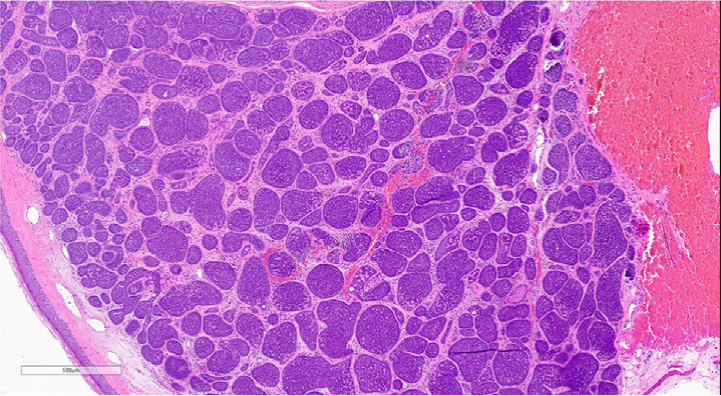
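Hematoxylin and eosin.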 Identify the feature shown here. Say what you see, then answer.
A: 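Tumor islands. Many discrete, dark purple nests of densely packed cells fill the field. The nests are separated by pale pink stroma.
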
